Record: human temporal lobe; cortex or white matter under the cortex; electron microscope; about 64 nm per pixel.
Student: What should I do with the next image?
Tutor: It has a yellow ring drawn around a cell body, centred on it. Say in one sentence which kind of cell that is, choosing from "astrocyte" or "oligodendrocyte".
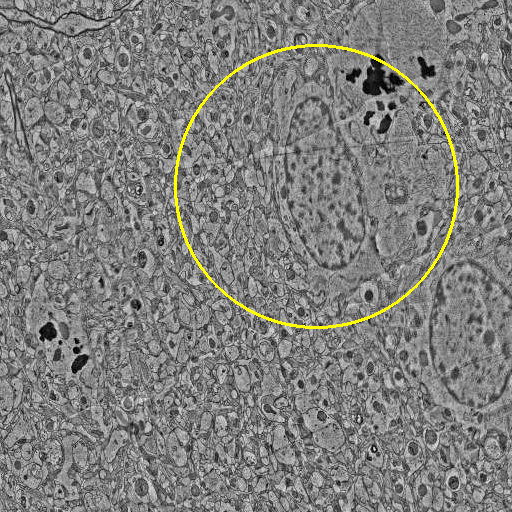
The ring's centre is occupied by an astrocyte.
